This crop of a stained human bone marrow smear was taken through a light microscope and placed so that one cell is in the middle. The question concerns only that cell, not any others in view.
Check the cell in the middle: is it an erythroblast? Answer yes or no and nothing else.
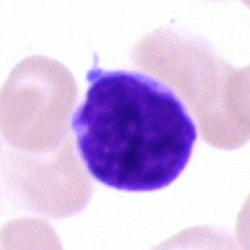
no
